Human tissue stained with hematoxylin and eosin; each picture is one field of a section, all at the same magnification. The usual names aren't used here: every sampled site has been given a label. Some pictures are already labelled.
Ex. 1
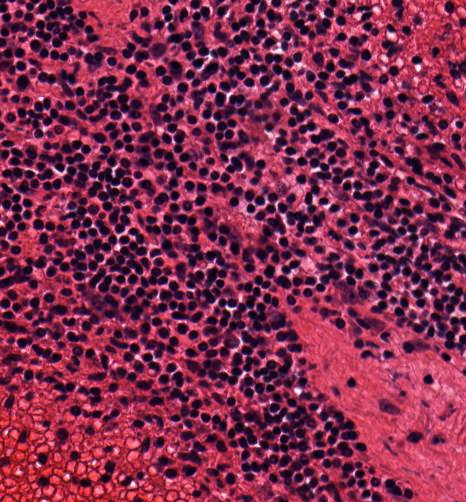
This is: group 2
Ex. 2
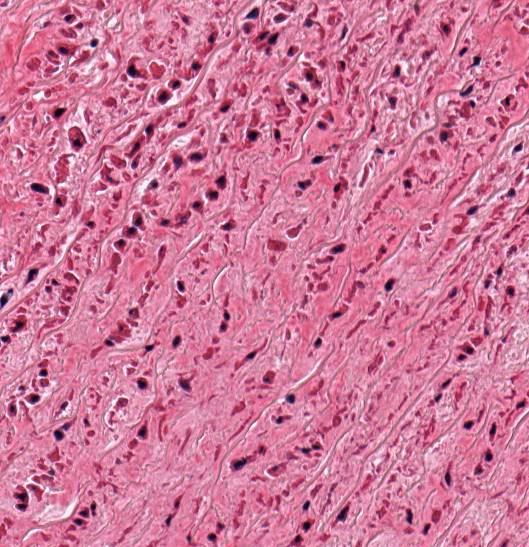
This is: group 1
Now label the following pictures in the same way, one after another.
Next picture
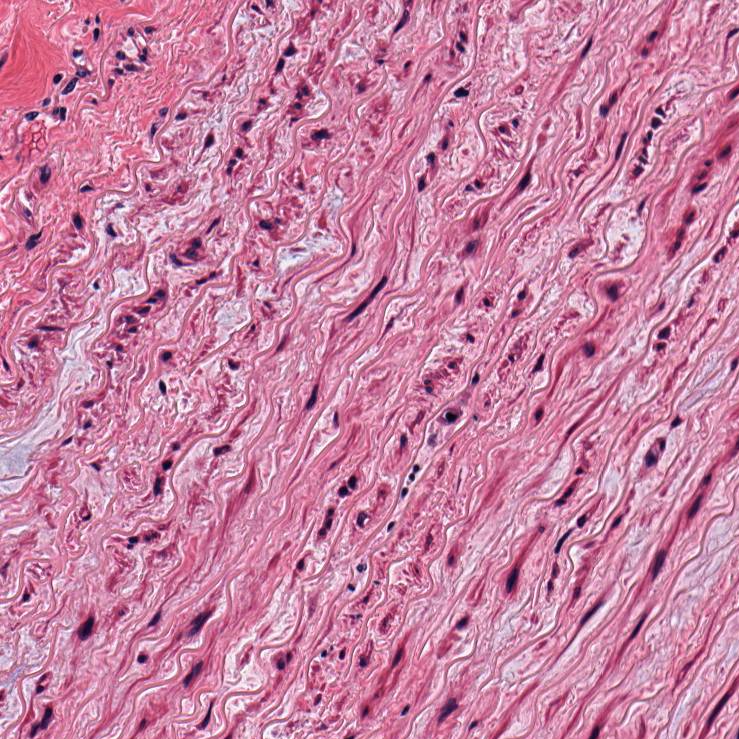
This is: group 1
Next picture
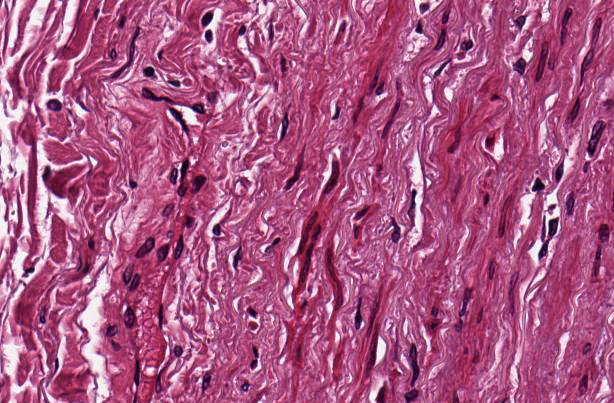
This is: group 1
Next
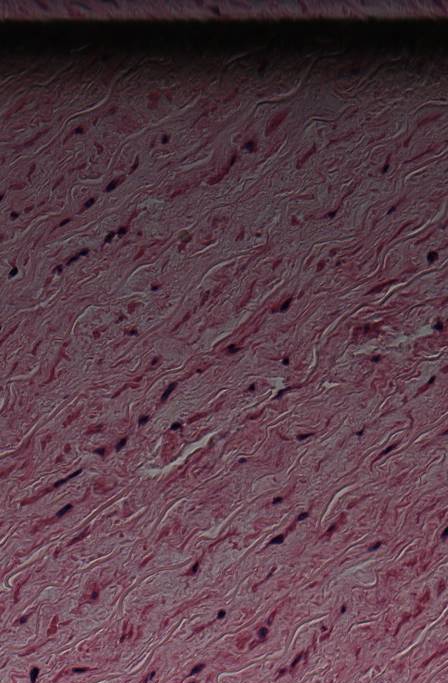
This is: group 1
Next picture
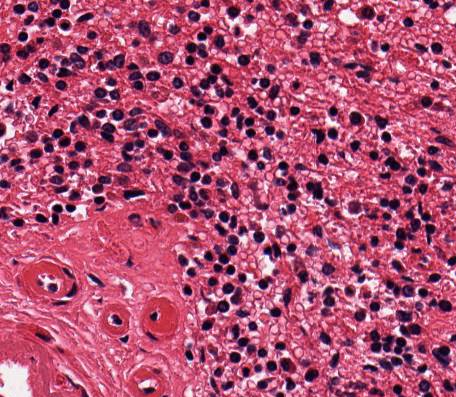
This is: group 2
